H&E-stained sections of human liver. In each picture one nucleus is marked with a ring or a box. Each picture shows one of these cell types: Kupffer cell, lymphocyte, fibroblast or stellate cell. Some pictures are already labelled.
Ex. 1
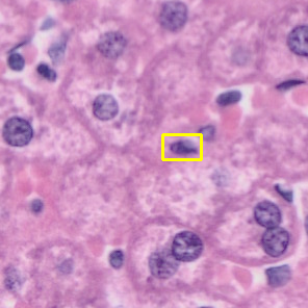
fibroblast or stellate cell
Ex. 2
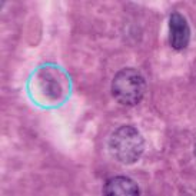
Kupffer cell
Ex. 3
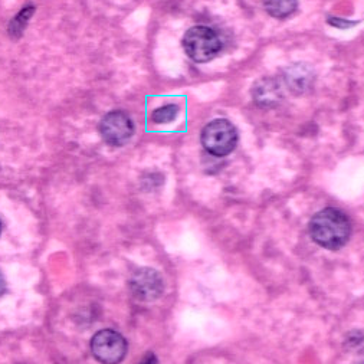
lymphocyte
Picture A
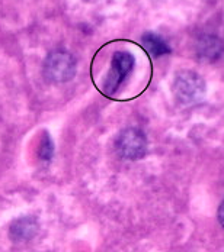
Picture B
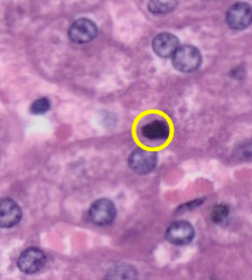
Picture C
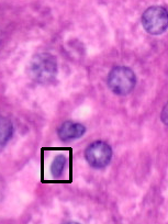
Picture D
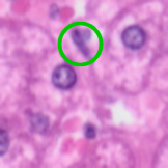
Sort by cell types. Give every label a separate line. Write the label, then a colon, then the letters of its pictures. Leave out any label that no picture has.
Kupffer cell: A, D
lymphocyte: C
fibroblast or stellate cell: B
